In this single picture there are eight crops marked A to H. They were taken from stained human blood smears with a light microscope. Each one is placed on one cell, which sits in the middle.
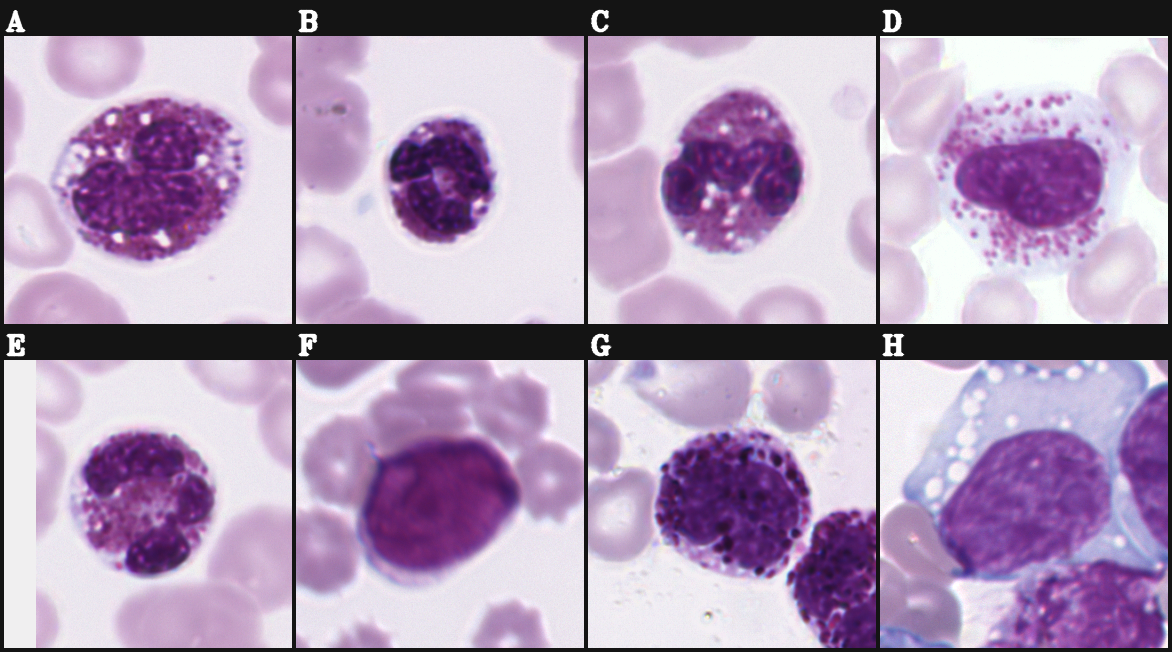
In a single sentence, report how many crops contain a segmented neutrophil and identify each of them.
The count is zero, since none of the crops contains segmented neutrophils.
